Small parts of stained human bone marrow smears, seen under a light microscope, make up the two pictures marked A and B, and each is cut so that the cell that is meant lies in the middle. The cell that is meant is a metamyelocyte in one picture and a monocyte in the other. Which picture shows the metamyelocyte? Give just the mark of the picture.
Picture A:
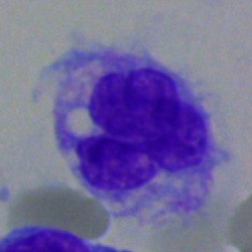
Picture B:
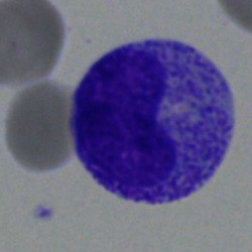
B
